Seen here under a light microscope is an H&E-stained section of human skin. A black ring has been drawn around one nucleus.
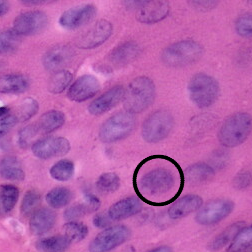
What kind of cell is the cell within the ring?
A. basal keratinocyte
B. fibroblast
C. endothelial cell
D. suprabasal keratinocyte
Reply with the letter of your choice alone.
D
